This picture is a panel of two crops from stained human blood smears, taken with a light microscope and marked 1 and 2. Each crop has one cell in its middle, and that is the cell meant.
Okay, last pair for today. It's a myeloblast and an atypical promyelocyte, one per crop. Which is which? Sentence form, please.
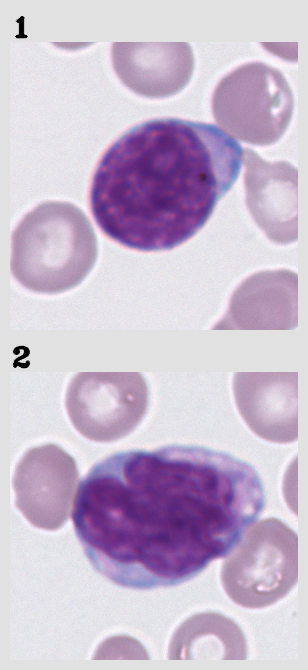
Crop 2 contains an atypical promyelocyte, whereas crop 1 contains a myeloblast.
